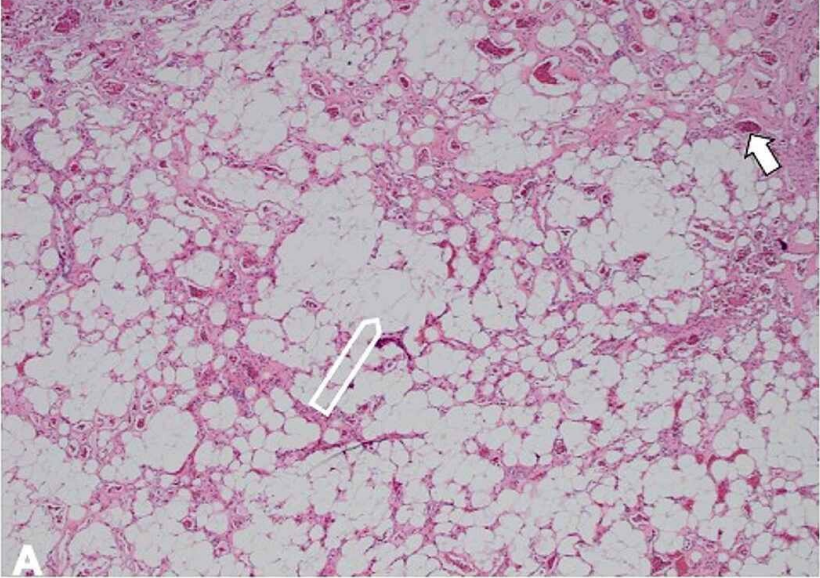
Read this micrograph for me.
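At low power the tissue is made mostly of mature fat, with sheets of clear rounded fat cells separated by delicate pink strands. Numerous small blood vessels filled with red blood cells are scattered through the fat, more crowded toward the upper part of the field.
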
